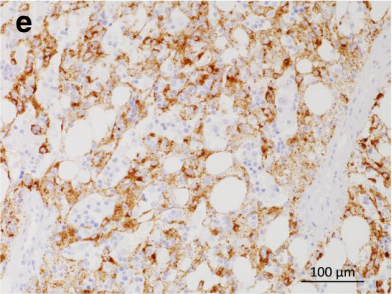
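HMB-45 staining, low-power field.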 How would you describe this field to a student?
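A tumor section in which many tumor cells carry a granular brown stain in their cytoplasm, while their nuclei are blue. The stained cells lie in irregular sheets and cords between numerous round empty spaces of varied size, the fat cells of the tumor. Staining is patchy, strong in some groups of cells and faint or absent in others. A pale band of loose unstained stroma runs along the right side, and scattered cells with blue nuclei and no brown stain lie between the stained ones.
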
